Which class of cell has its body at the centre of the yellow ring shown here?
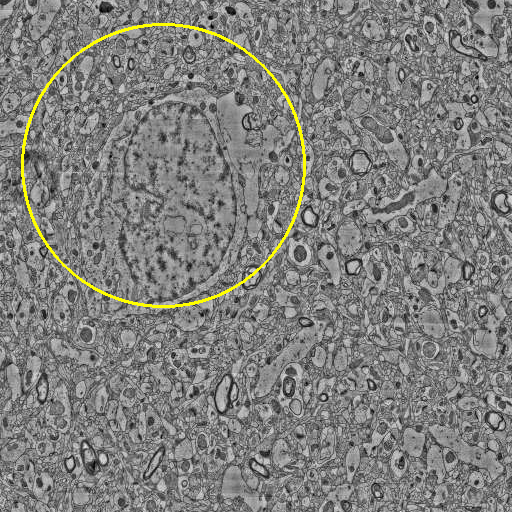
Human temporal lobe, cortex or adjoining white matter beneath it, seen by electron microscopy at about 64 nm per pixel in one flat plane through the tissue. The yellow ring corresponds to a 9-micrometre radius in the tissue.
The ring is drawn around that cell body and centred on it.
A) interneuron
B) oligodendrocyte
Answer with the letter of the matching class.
A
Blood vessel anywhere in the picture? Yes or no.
No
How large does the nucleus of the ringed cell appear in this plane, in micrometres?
Clearly longer than it is wide in this plane, the nucleus measures roughly 13 by 8 micrometres.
